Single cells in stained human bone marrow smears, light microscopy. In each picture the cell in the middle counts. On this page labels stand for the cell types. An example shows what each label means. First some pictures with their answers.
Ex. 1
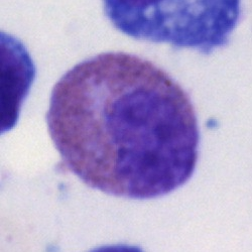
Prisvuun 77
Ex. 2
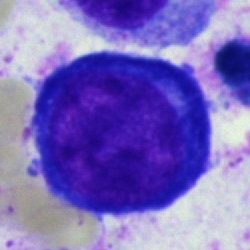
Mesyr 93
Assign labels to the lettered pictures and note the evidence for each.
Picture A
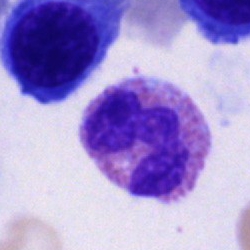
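Label: Prisvuun 77. The chromatin is dark purple and coarsely clumped.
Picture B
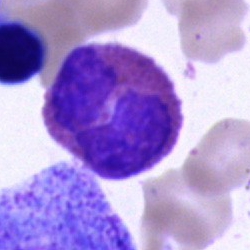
Label: Prisvuun 77. The cytoplasm holds fine reddish-purple granules.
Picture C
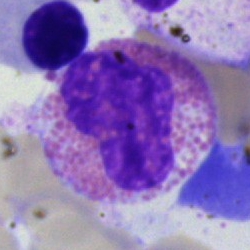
Label: Prisvuun 77. The cytoplasm is packed with coarse pink-orange granules.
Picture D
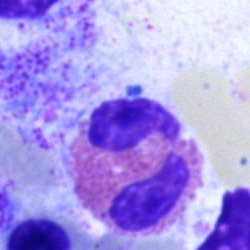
Label: Prisvuun 77. The cytoplasm is packed with orange-pink granules.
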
